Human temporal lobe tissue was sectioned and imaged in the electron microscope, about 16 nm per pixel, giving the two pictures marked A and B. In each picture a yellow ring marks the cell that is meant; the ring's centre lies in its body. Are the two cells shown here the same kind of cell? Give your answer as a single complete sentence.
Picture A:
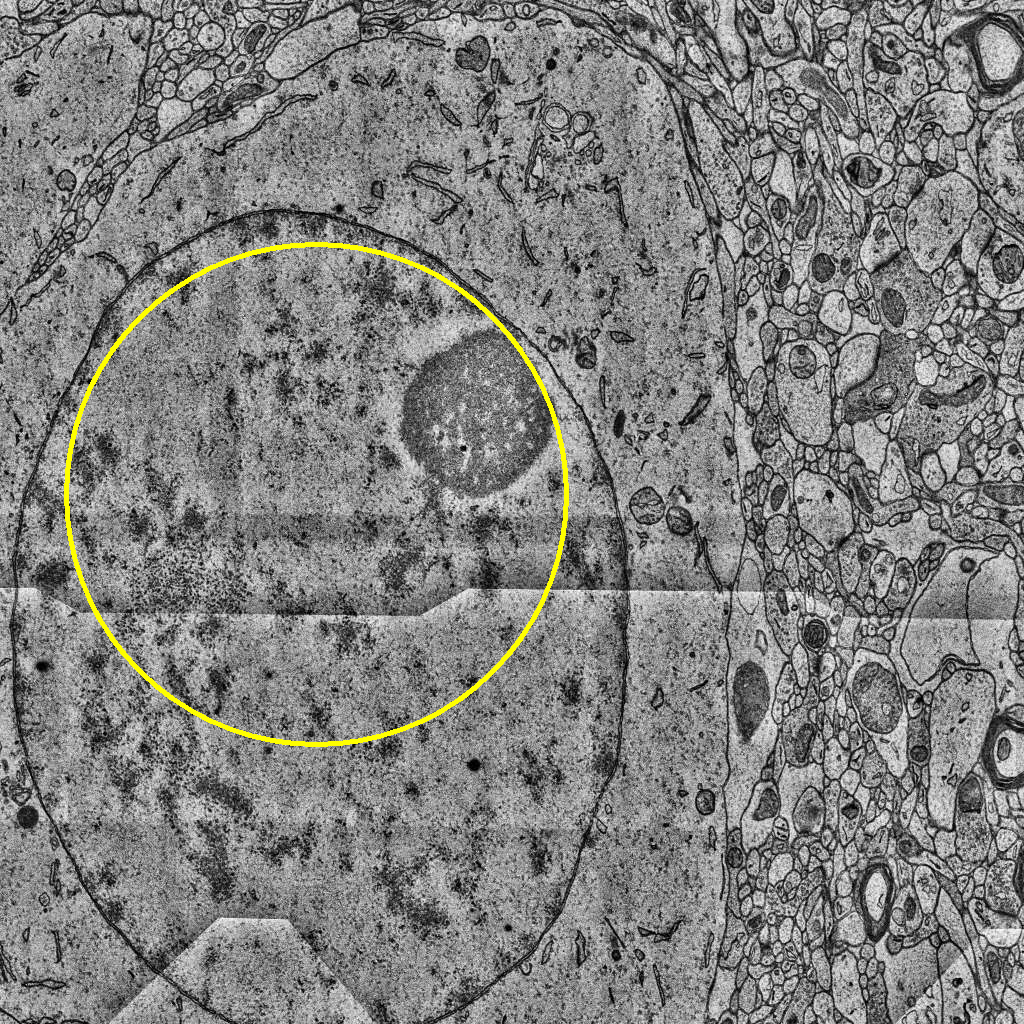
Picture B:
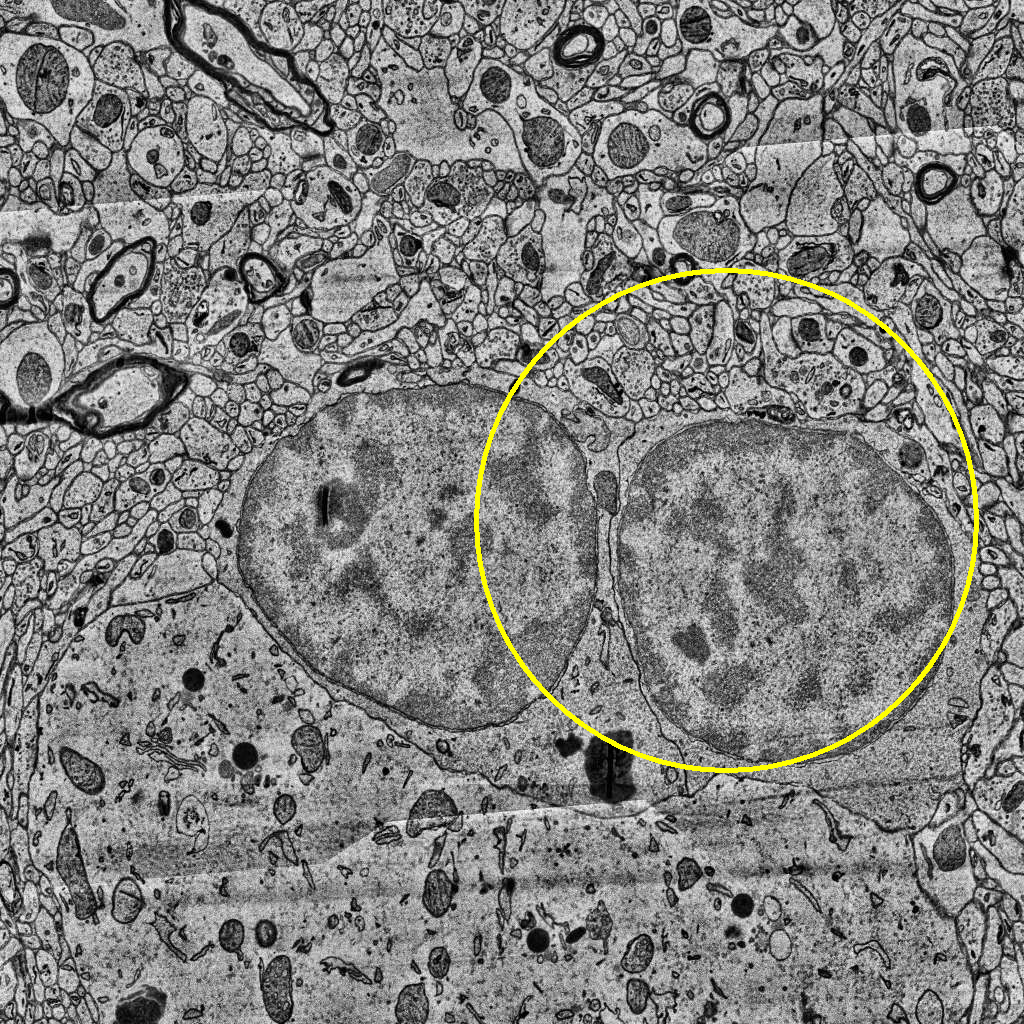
No, picture A shows a pyramidal neuron and picture B shows an oligodendrocyte.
